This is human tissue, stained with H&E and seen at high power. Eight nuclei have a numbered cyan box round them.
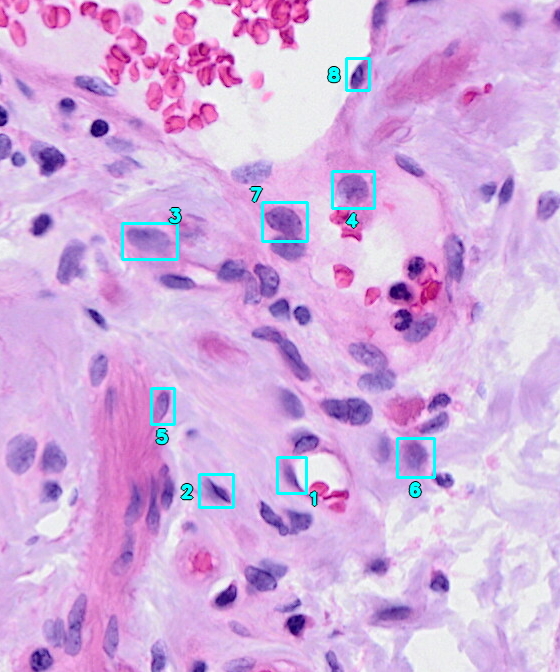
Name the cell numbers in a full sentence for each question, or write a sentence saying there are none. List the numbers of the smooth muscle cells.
Cell 5, and no other numbered cell, is a smooth muscle cell.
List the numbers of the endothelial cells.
Cells 1, 3, 4, 7 and 8 are of one type, namely endothelial cells.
